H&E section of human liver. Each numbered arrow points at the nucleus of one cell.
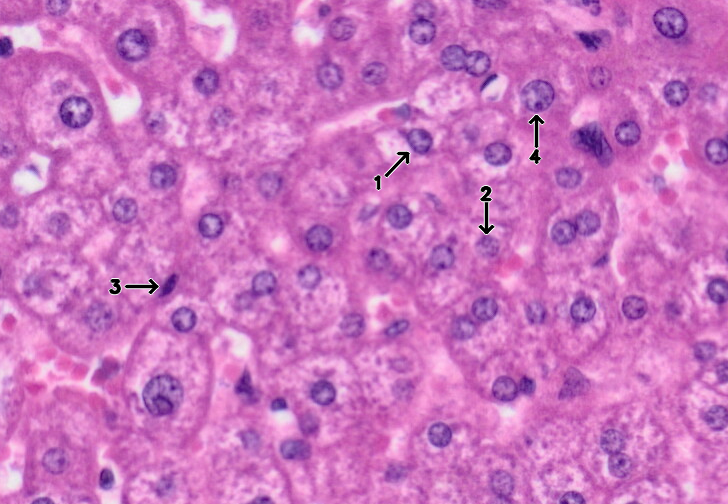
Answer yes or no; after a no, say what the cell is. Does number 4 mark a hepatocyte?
Yes.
